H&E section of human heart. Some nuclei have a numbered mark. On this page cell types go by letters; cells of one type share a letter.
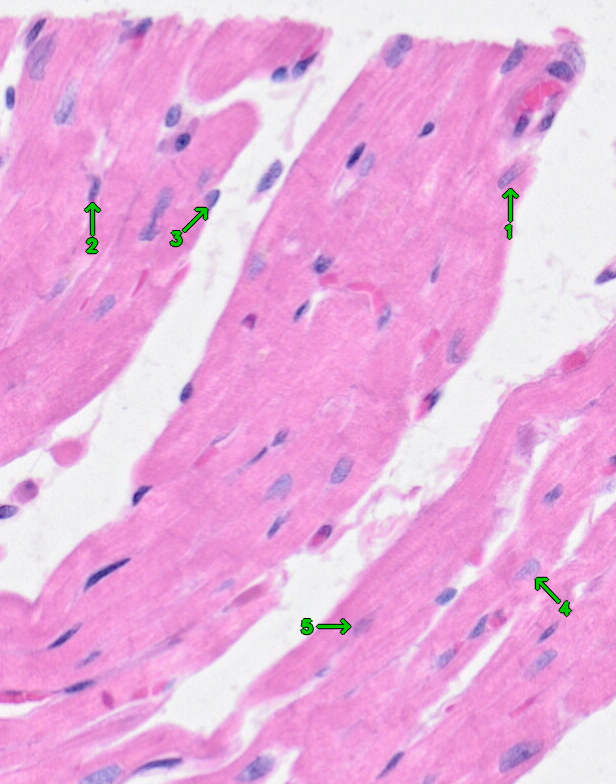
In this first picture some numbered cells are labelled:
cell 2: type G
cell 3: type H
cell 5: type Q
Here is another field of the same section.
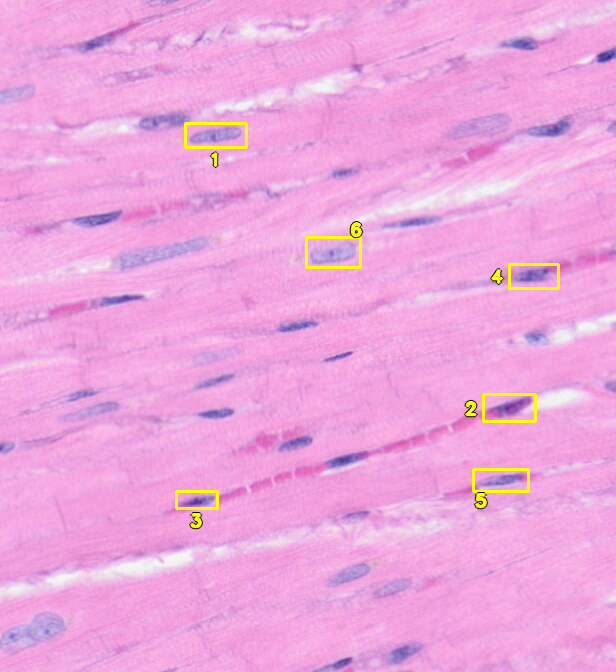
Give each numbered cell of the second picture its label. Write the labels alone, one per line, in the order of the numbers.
type Q
type G
type G
type G
type G
type Q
